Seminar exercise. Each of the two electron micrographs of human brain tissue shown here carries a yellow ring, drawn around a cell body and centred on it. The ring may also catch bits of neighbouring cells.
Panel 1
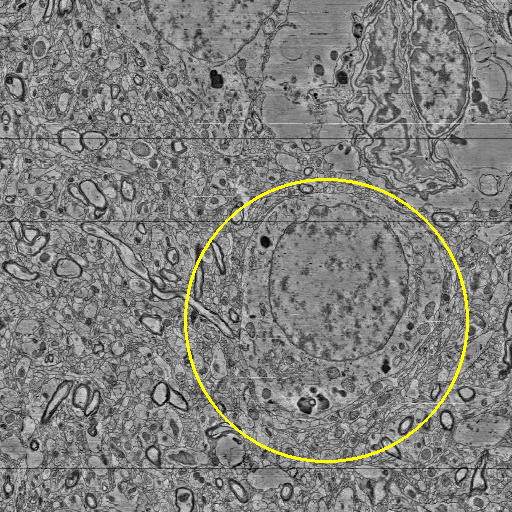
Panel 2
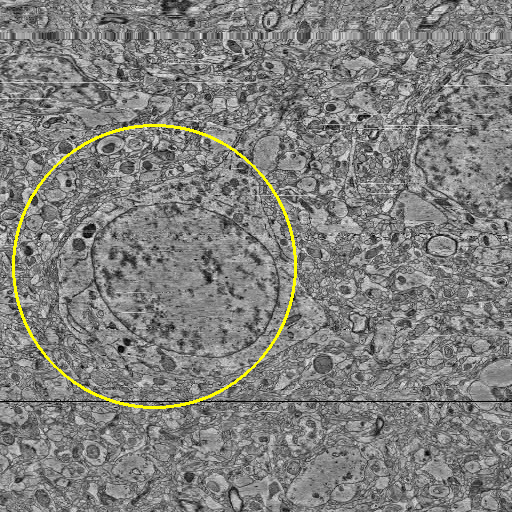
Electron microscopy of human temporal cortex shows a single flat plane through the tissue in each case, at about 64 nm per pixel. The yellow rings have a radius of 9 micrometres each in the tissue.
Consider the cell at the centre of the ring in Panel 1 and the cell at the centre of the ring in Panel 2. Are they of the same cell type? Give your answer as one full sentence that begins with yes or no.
Yes, both cells are of the same type.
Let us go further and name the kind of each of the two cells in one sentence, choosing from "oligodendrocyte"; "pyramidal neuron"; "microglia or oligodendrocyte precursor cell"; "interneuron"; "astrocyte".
Each of the two rings surrounds a pyramidal neuron.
